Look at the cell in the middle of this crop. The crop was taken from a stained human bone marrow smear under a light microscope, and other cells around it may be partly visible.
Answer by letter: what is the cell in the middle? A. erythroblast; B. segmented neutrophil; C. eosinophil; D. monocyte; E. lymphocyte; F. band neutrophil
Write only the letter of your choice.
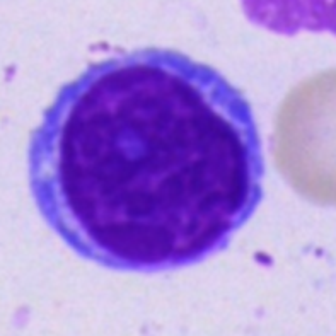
E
